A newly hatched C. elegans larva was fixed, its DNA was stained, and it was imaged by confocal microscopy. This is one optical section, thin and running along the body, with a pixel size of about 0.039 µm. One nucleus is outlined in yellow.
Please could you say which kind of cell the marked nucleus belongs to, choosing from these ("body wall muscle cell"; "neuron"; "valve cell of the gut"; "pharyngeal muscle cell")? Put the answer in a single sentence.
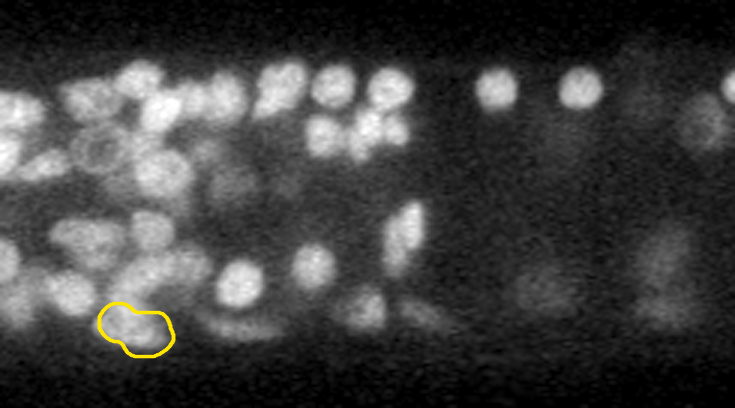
This nucleus is from a body wall muscle cell.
